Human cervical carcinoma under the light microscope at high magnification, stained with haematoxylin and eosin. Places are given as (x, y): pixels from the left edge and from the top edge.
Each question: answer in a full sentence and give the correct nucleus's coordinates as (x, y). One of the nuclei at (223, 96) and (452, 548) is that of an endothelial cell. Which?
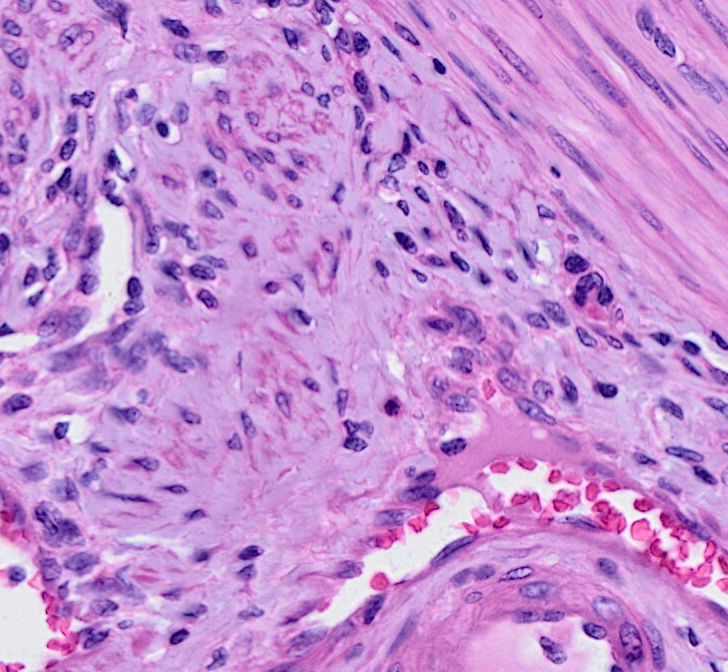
Among the two, the nucleus at (452, 548) is the nucleus of an endothelial cell.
